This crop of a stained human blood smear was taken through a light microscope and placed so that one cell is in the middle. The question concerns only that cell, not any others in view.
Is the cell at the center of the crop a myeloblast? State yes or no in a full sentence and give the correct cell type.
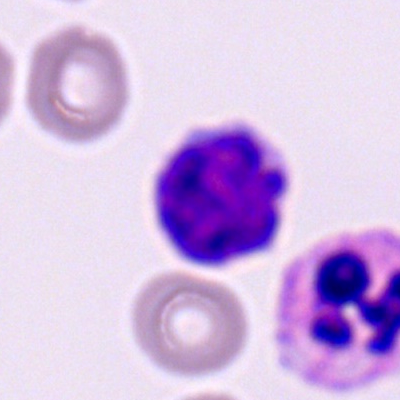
No, the cell at the centre of the crop corresponds to a lymphocyte, not a myeloblast.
